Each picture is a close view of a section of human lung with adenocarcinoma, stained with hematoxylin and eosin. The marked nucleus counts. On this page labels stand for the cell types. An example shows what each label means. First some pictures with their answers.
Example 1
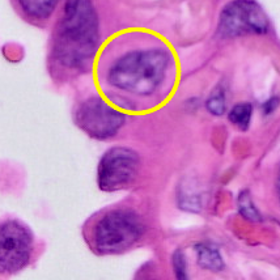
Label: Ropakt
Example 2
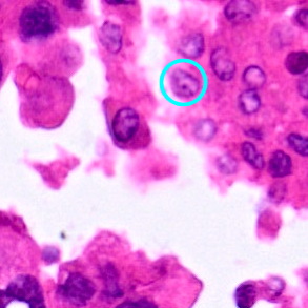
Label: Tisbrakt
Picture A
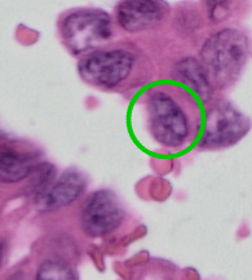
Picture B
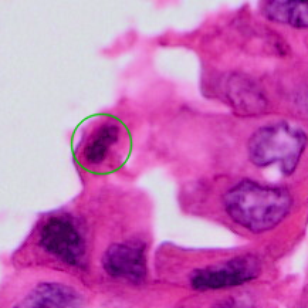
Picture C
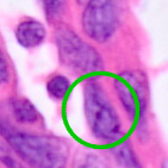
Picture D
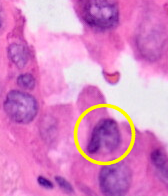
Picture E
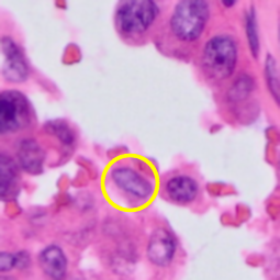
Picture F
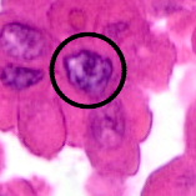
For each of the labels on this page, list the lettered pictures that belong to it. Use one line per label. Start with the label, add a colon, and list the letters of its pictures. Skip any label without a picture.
Ropakt: A, C, D, F
Tisbrakt: B, E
